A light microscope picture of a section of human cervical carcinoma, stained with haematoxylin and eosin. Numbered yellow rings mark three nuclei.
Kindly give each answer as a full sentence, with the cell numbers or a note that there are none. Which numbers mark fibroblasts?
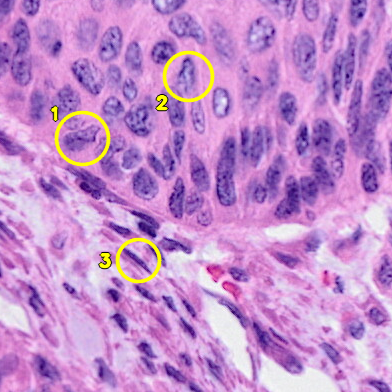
Cell 3 is a fibroblast; the remaining numbered cells are not.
